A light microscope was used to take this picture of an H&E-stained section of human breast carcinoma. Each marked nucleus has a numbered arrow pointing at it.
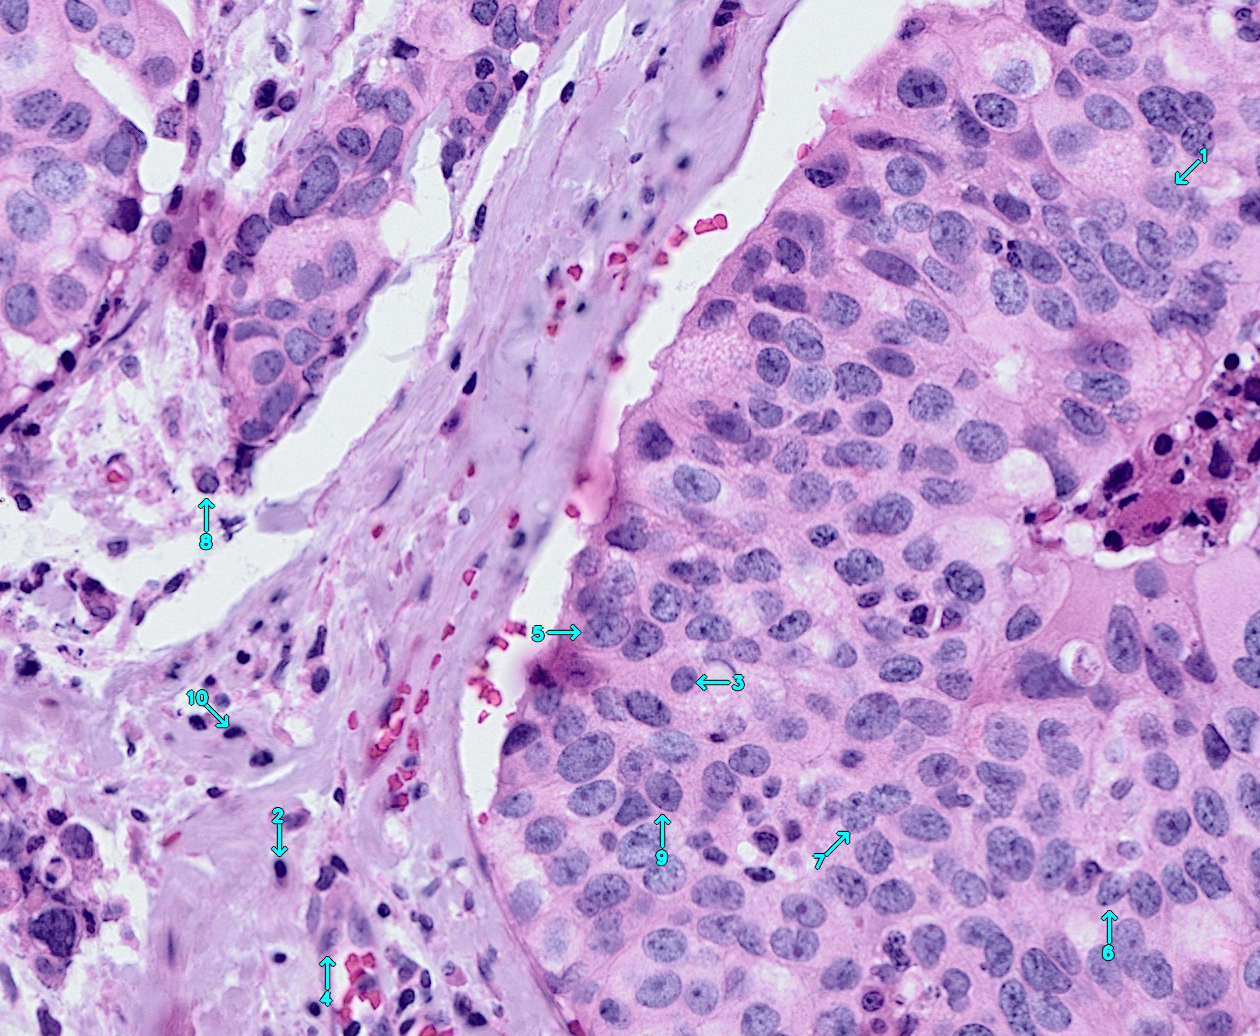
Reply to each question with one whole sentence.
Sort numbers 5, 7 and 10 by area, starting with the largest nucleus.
The nuclei rank 5, 7, 10, from largest to smallest.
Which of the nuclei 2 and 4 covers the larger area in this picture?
The larger nucleus is 4, at roughly 1.5 times the area of 2.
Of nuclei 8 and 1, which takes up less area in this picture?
Nucleus 8 is the smaller one; nucleus 1 covers about 1.5 times its area.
